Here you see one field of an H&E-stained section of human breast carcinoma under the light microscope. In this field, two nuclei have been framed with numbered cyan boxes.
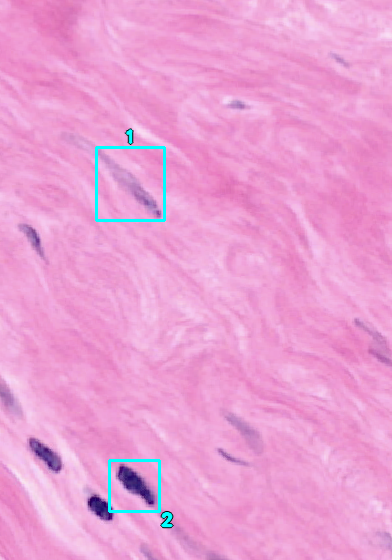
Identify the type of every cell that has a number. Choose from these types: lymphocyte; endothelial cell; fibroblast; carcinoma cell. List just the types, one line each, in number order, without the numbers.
fibroblast
lymphocyte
